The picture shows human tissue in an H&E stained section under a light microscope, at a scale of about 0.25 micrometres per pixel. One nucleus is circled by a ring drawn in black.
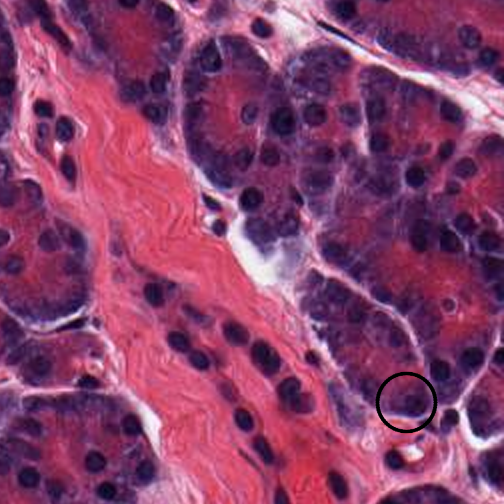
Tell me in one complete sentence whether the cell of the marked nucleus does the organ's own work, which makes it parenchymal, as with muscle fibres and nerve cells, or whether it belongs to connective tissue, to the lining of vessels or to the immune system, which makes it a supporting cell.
The marked nucleus is found in a parenchymal cell, namely a pancreatic acinar cell.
